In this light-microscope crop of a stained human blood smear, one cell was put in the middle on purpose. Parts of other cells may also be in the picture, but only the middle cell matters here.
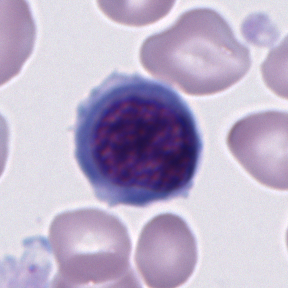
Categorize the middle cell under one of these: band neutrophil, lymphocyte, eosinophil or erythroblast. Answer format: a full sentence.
The cell around which this crop is centred is an erythroblast.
